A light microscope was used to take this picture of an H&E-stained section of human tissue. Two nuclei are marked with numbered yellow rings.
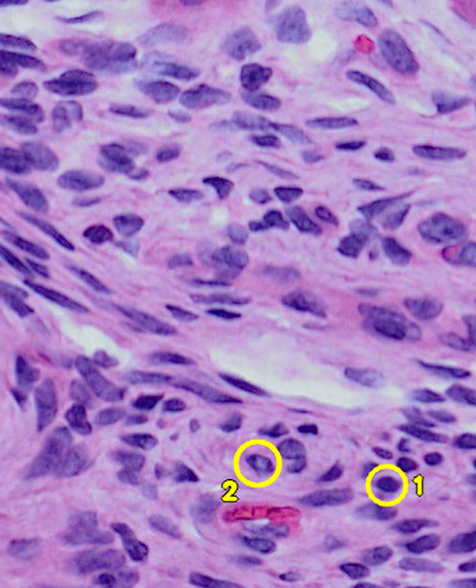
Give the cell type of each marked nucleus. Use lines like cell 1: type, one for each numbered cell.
cell 1: fibroblast
cell 2: endothelial cell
